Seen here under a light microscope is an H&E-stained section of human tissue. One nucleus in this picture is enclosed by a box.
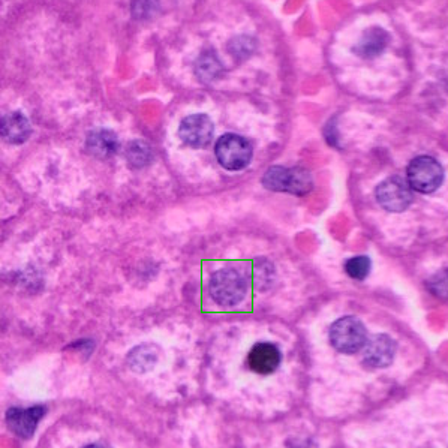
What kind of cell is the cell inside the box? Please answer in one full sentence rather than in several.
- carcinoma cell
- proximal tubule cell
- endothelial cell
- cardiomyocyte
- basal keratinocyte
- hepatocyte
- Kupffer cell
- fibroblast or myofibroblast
On this particular slide, the cell inside the box is a hepatocyte.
